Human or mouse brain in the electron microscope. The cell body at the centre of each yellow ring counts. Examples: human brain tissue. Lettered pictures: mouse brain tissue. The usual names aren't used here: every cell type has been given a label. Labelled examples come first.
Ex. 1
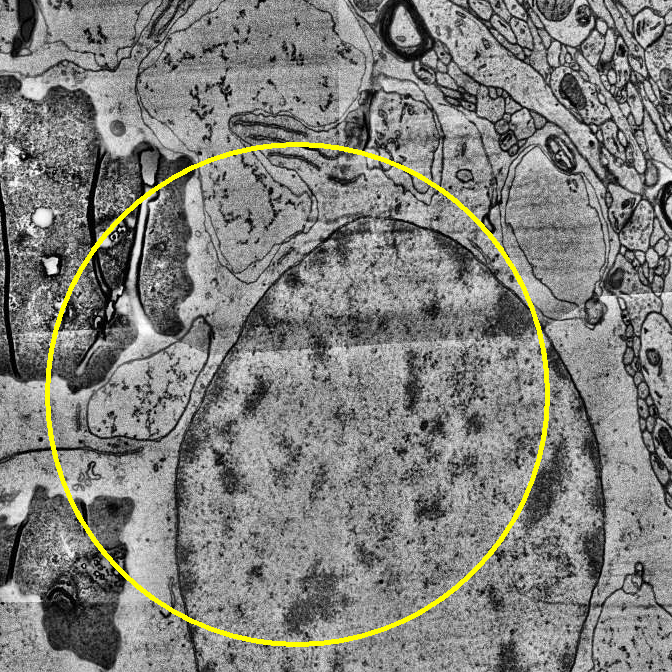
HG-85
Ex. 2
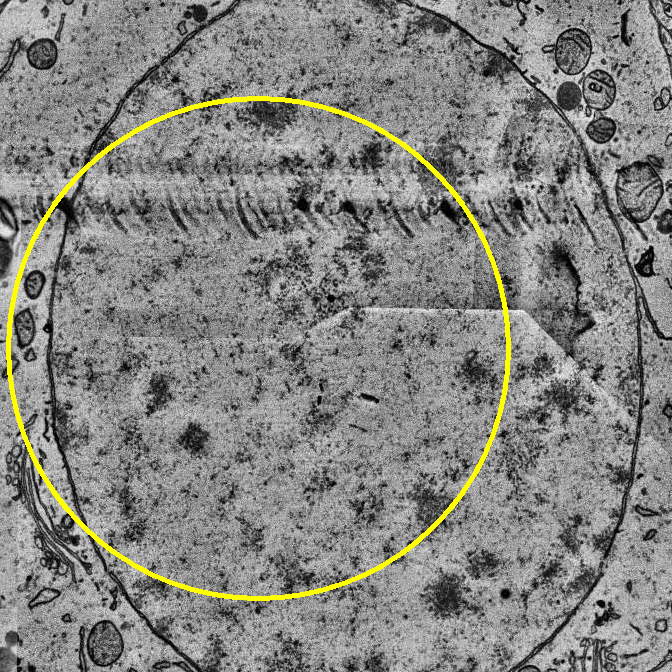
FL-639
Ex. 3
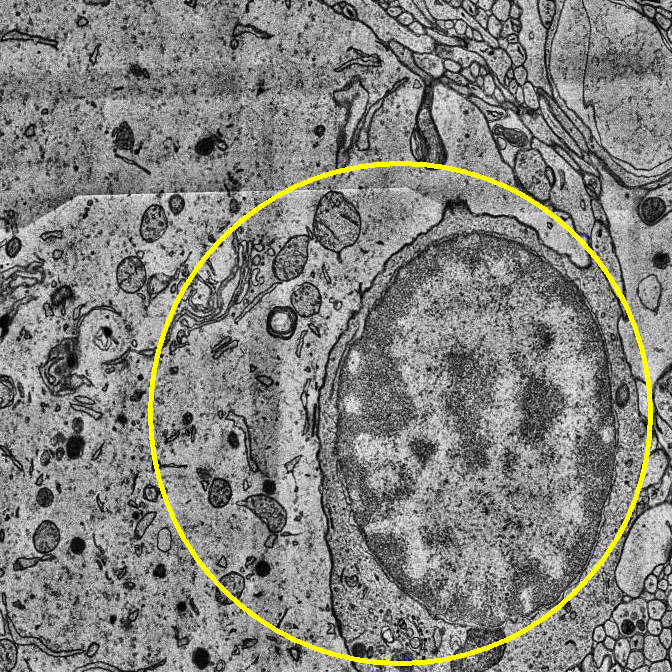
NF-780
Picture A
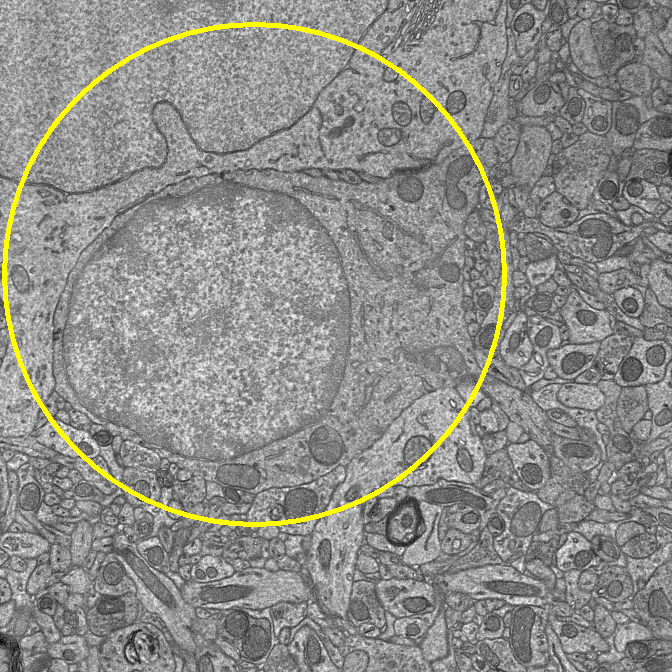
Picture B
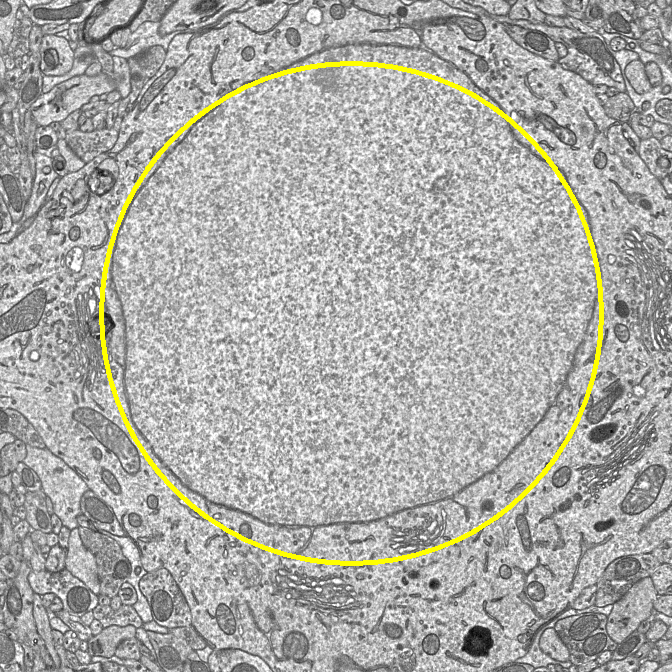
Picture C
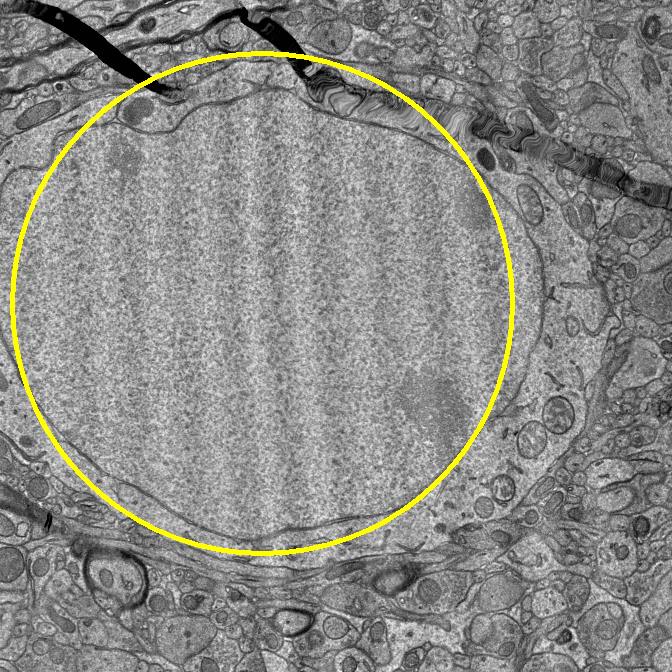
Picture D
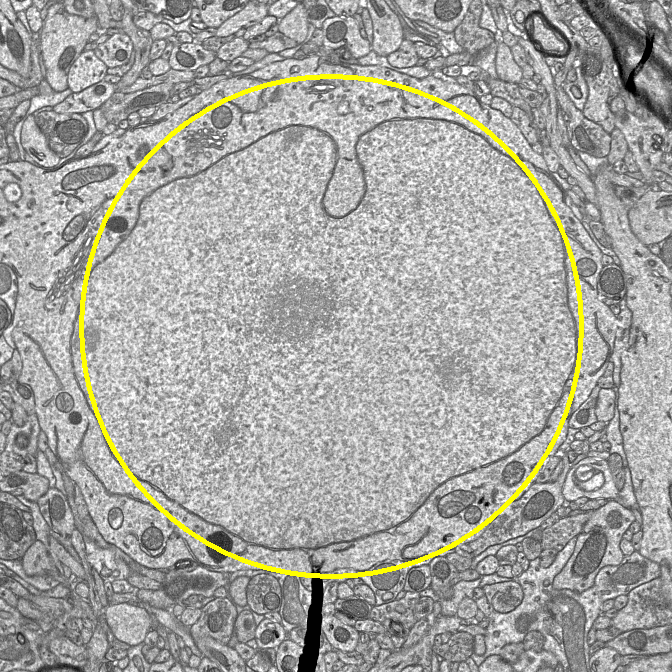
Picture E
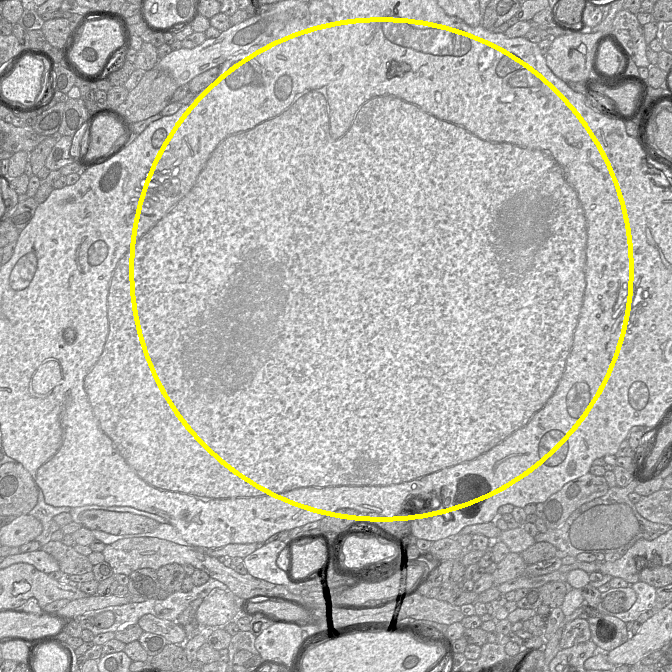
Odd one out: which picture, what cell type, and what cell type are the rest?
Different: A, NF-780. Others: FL-639.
